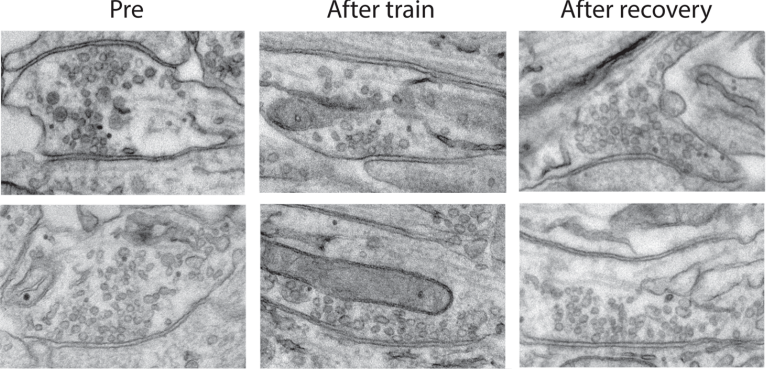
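Six electron micrographs show rounded or elongated terminal profiles filled to varying degrees with small round clear vesicles, lying against neighbouring processes, with an elongated mitochondrion in some profiles. The vesicles cluster toward the membrane facing the partner process. These are presynaptic terminals of inhibitory synapses with their synaptic vesicle clusters.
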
